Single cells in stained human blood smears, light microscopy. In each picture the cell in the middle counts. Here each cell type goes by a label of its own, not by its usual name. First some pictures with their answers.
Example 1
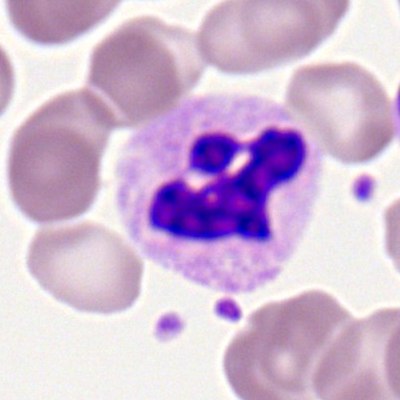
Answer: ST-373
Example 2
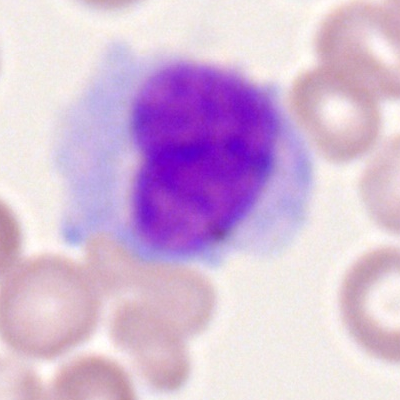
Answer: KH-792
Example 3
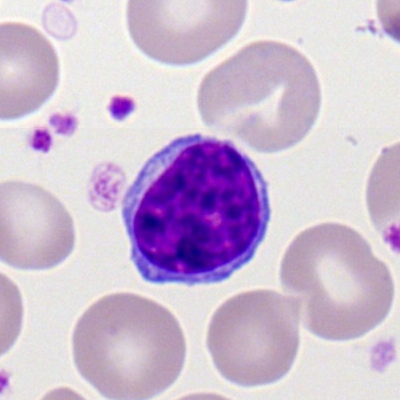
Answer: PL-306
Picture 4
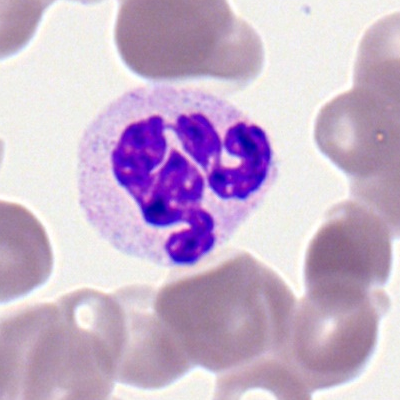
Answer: ST-373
